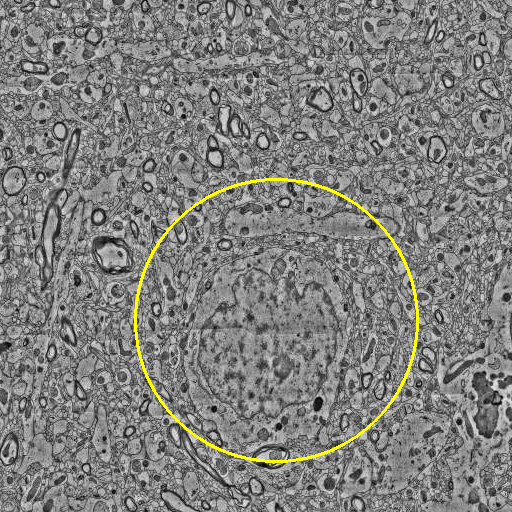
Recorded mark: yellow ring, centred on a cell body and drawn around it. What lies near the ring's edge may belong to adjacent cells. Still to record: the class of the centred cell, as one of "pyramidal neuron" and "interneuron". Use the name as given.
interneuron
